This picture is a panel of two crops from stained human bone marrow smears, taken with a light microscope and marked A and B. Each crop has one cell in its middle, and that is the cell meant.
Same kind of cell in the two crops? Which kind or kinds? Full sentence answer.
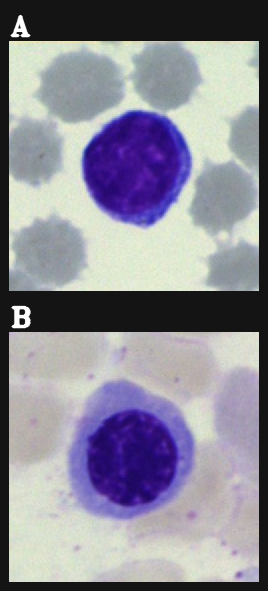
No; crop A is a lymphocyte, while crop B is an erythroblast.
